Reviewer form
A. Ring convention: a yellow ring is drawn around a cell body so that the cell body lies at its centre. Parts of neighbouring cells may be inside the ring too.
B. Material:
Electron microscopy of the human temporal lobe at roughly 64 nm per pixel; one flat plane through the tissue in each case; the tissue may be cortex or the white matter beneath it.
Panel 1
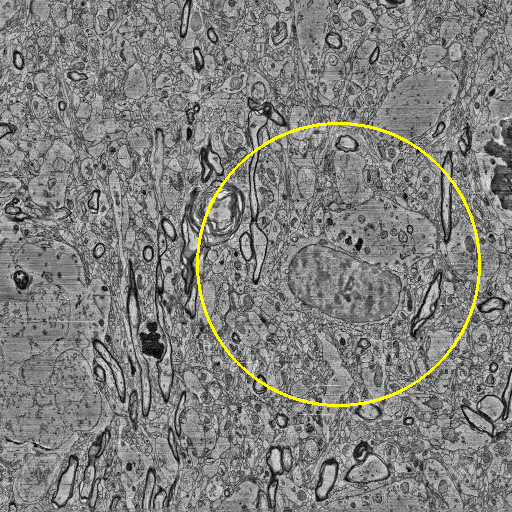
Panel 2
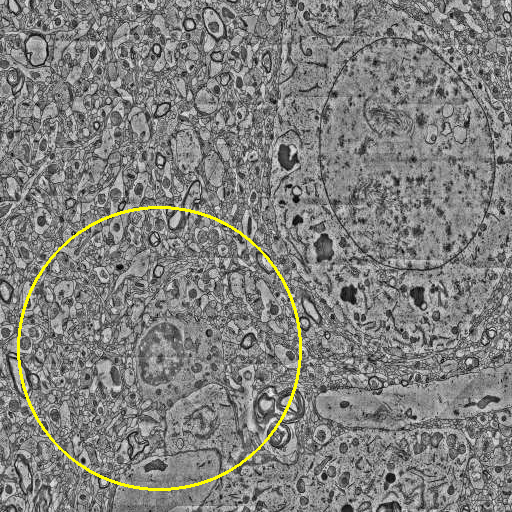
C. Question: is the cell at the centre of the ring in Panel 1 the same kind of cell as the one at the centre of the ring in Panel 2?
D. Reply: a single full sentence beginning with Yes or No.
Yes, the cells in Panel 1 and Panel 2 are the same kind of cell.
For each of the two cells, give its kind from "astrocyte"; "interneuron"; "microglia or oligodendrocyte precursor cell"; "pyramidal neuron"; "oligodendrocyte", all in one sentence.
Both the first and the second picture show an oligodendrocyte in the ring.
